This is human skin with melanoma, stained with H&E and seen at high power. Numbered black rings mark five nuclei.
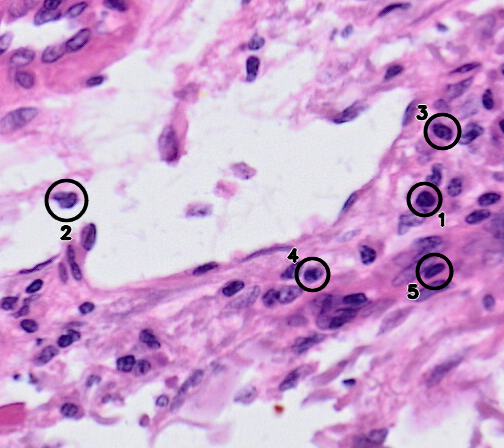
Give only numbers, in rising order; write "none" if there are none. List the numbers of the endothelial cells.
5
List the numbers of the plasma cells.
1, 3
